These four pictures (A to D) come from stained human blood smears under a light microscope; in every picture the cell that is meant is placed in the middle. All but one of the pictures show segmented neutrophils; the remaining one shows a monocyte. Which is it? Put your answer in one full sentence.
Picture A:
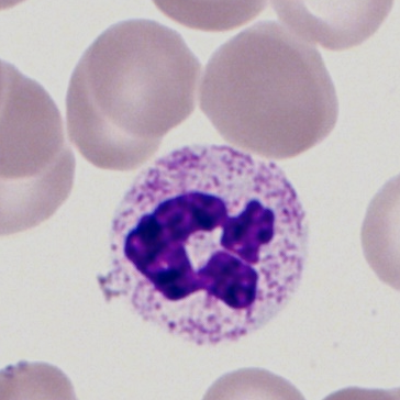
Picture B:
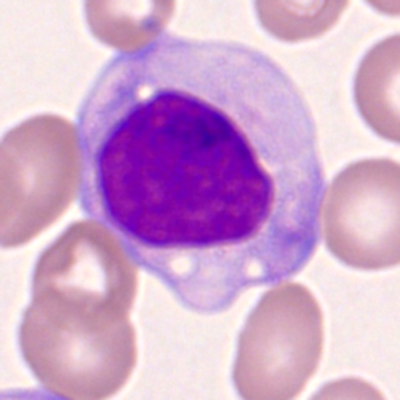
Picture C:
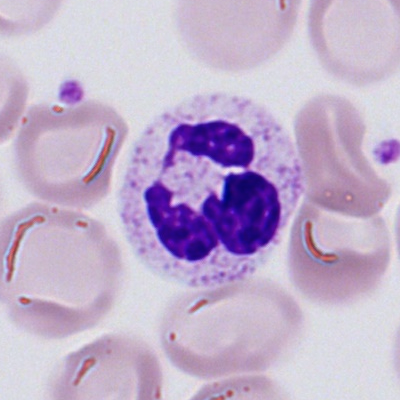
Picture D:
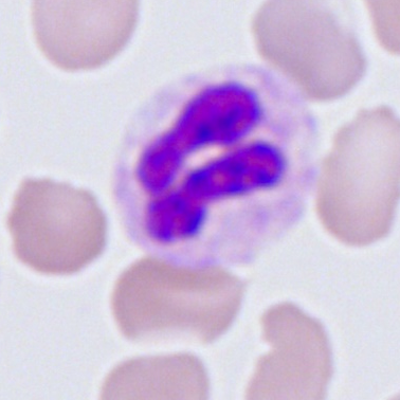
The monocyte is the one in picture B.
